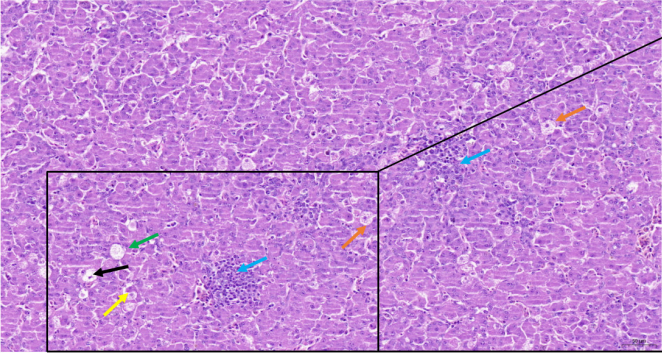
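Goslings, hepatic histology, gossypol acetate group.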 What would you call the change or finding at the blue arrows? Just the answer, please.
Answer: Lymphocytic infiltration.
